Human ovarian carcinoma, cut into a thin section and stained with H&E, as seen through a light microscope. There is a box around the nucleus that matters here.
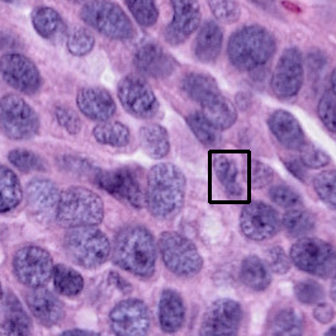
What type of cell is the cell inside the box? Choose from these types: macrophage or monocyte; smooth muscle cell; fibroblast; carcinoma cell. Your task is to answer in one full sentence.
It is as a macrophage or monocyte that the cell inside the box is recorded.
